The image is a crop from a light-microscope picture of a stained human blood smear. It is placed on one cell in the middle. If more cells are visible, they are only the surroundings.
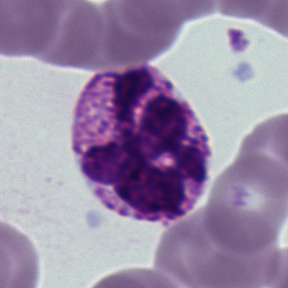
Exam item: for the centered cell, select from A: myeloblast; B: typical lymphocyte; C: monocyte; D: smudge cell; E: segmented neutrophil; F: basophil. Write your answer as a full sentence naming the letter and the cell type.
The cell positioned centrally is a basophil, as given in option F, which is correct.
